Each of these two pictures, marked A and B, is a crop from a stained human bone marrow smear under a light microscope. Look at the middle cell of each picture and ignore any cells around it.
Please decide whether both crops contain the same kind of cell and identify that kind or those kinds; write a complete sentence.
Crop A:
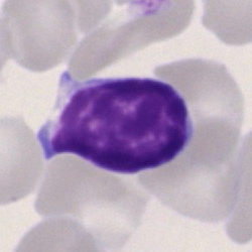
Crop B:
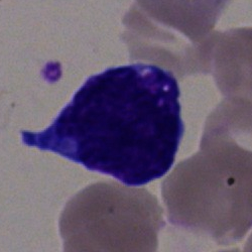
No, crop A and crop B contain, respectively, a lymphocyte and a blast.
